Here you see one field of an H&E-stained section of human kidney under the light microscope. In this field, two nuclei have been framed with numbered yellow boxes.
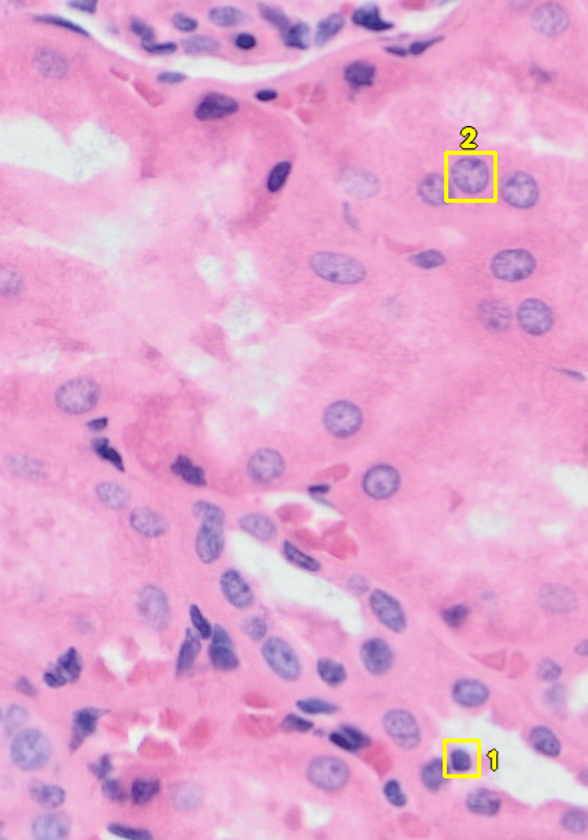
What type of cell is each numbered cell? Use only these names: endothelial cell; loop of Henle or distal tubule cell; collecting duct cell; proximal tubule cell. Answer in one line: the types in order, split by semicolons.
loop of Henle or distal tubule cell; proximal tubule cell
